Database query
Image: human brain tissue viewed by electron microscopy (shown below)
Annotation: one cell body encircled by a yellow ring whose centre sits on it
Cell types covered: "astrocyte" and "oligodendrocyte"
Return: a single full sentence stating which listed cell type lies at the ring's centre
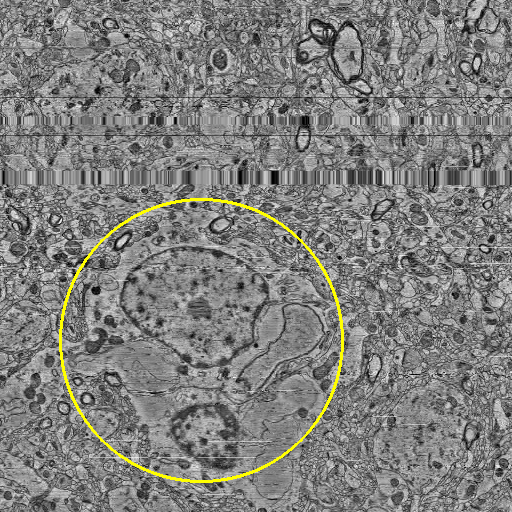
In the image, the cell lying at the ring's centre is an astrocyte.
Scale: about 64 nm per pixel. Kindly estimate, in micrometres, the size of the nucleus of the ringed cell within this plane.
About 9 by 8 micrometers for the nucleus, in this plane.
